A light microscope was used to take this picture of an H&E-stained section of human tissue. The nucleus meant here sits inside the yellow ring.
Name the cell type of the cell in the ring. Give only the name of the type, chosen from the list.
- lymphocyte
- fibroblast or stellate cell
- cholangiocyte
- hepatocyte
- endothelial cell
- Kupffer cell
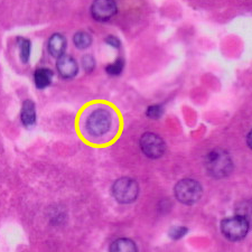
cholangiocyte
